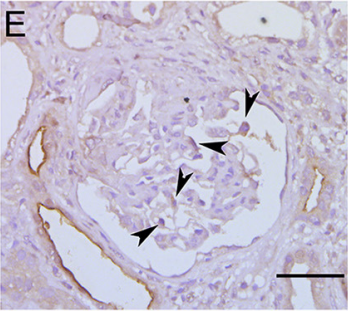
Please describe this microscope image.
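A renal glomerulus is shown, its capillary tuft set within a capsule with a clear urinary space between them. Arrowheads mark cells lying on the outer edge of the capillary loops, facing the urinary space, which carry brown stain. The tuft contains many blue nuclei among its loops. Around the capsule the interstitium is cellular, and tubular walls nearby show brown stain.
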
